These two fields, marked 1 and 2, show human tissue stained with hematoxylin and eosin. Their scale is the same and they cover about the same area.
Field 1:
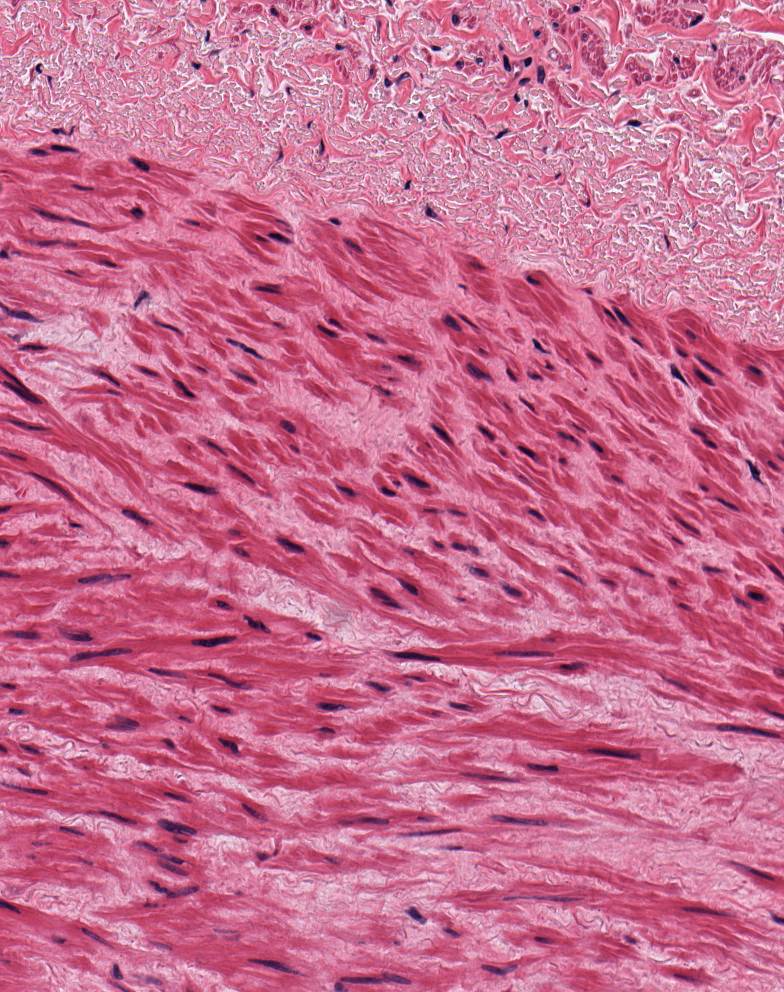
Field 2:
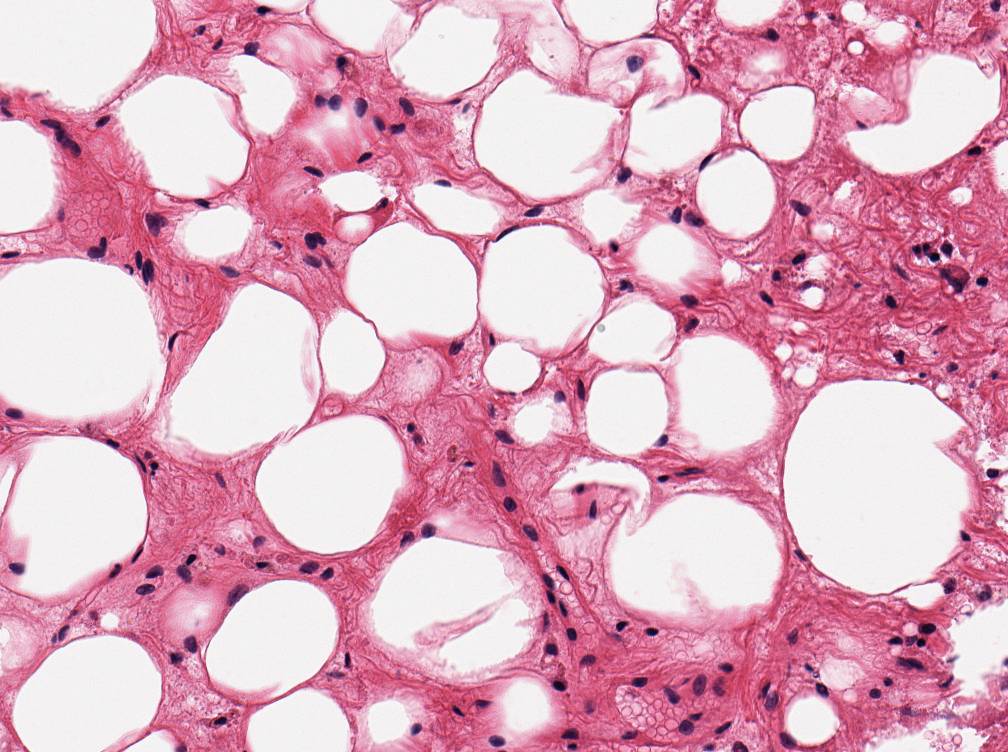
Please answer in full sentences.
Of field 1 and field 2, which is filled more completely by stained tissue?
Unstained space takes up less of field 1 than of field 2.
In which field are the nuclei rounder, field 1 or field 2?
Rounder nuclei lie in field 2.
